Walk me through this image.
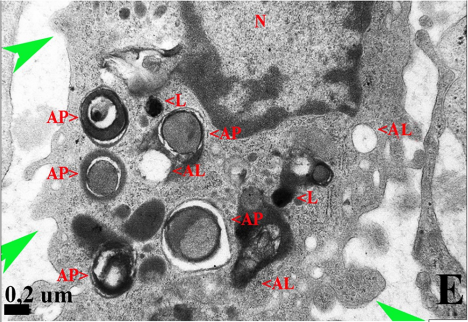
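An irregular nucleus with dark, condensed chromatin occupies the upper part of the cell. The cytoplasm below holds several rounded vesicles with membrane-bound, electron-dense contents, some with concentric layered rims and clear halos. The cell border forms rounded protrusions that bulge into the clear spaces around the cell.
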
